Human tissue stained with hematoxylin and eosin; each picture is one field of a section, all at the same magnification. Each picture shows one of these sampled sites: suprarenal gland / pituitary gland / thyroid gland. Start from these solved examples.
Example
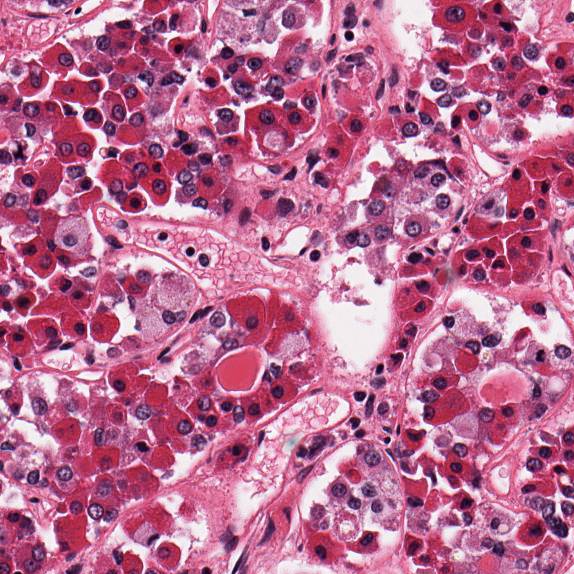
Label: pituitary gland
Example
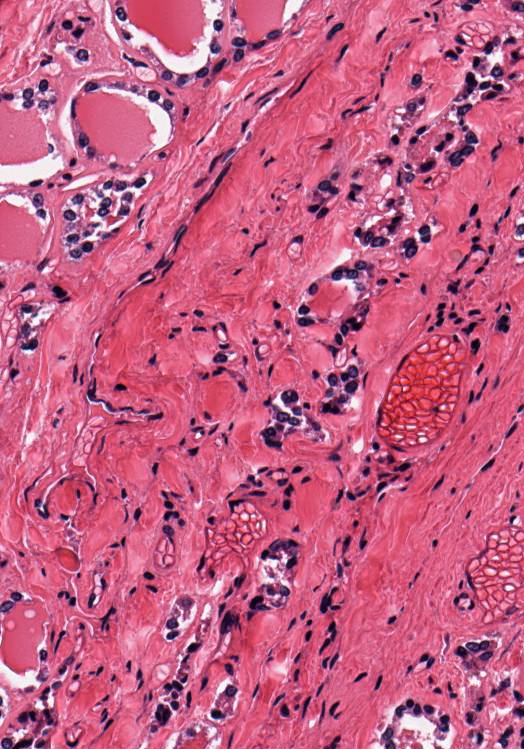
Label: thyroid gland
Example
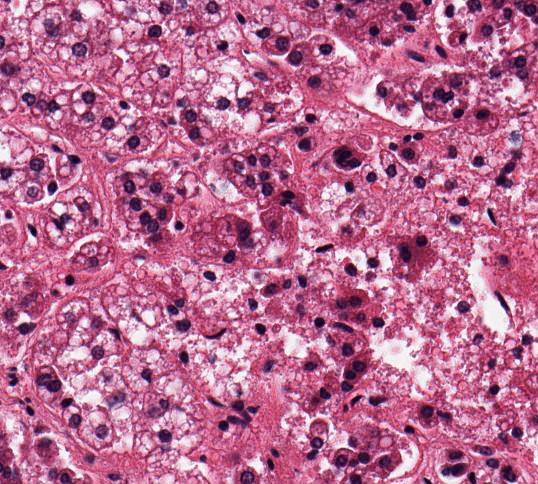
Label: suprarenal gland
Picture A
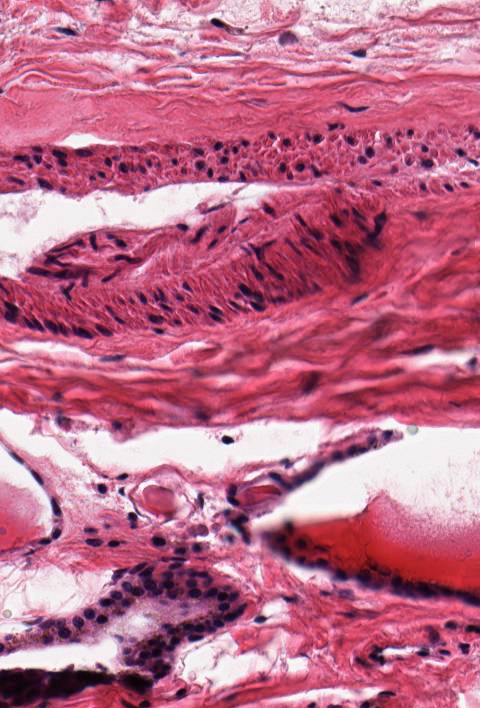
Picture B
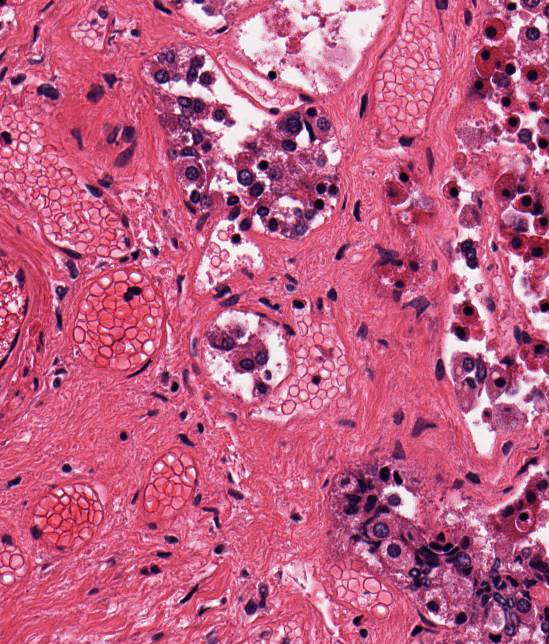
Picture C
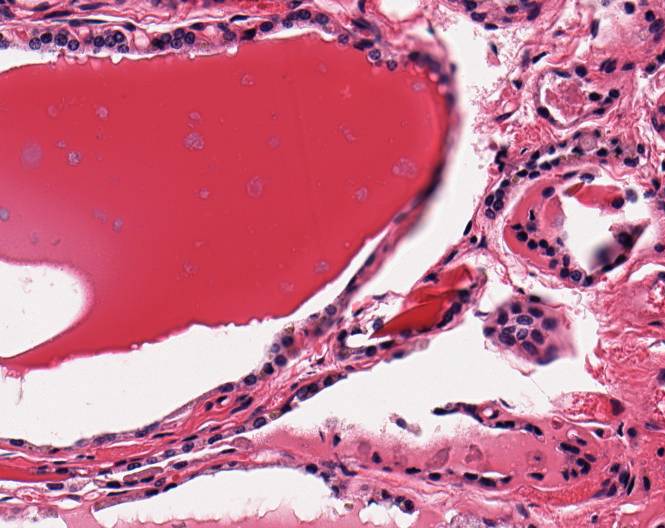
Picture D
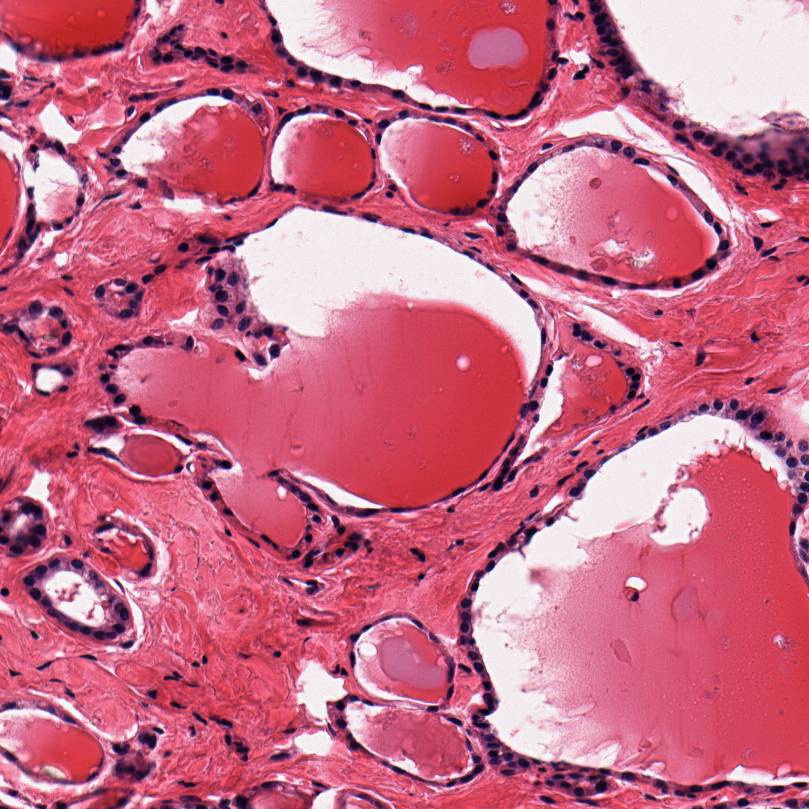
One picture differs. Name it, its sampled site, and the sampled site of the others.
Different: B, pituitary gland. Others: thyroid gland.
